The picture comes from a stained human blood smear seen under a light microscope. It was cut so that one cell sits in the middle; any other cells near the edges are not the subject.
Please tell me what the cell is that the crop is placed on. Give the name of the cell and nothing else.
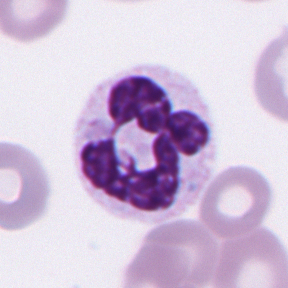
neutrophil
